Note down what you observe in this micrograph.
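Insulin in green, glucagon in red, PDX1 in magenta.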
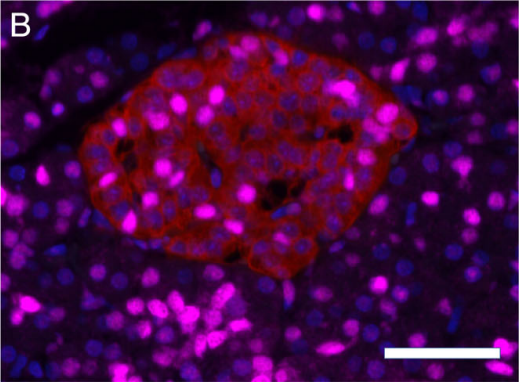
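This is a pancreatic islet made up of alpha cells, a rounded cluster of cells set off from the surrounding tissue. Every cell in the cluster has red-outlined cytoplasm, and no green cells are to be seen. The nuclei are round and mostly blue, but a number of them inside the red cells glow magenta. Small dark clefts, likely capillaries, run between groups of cells. Around the islet lie many scattered blue and magenta nuclei of the surrounding tissue.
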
